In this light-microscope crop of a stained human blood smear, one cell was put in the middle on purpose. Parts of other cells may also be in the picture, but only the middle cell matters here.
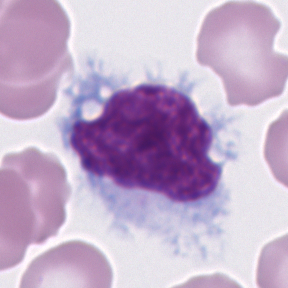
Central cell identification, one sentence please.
The cell in the exact centre of the crop is a hairy cell.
